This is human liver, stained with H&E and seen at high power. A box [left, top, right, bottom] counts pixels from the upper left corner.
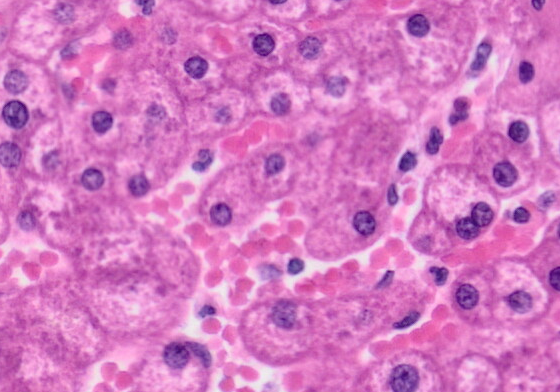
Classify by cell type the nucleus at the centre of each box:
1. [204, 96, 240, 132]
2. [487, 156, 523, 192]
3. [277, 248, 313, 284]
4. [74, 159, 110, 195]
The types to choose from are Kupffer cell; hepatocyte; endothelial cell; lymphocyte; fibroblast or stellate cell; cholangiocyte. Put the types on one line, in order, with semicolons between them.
hepatocyte; hepatocyte; lymphocyte; hepatocyte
